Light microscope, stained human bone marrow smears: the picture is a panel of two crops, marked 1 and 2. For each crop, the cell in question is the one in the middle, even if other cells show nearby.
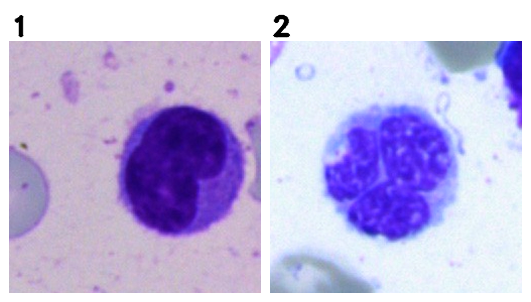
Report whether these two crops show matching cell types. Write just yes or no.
yes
